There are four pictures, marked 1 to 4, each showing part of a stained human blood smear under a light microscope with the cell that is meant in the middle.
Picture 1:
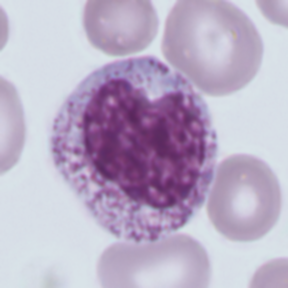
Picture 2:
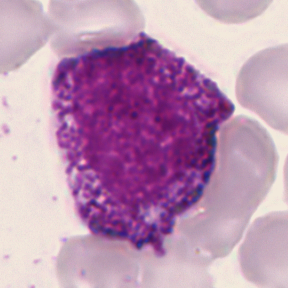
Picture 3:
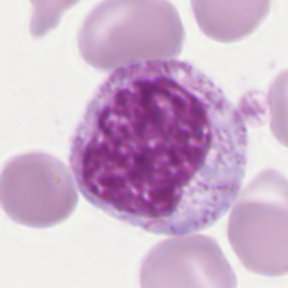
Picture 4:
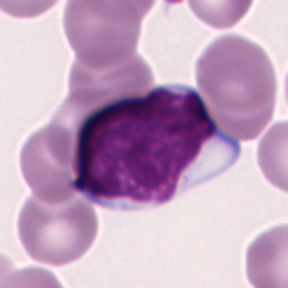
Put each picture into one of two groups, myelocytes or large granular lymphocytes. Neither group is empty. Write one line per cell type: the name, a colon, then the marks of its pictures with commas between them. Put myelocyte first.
myelocyte: 1, 2, 3
large granular lymphocyte: 4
